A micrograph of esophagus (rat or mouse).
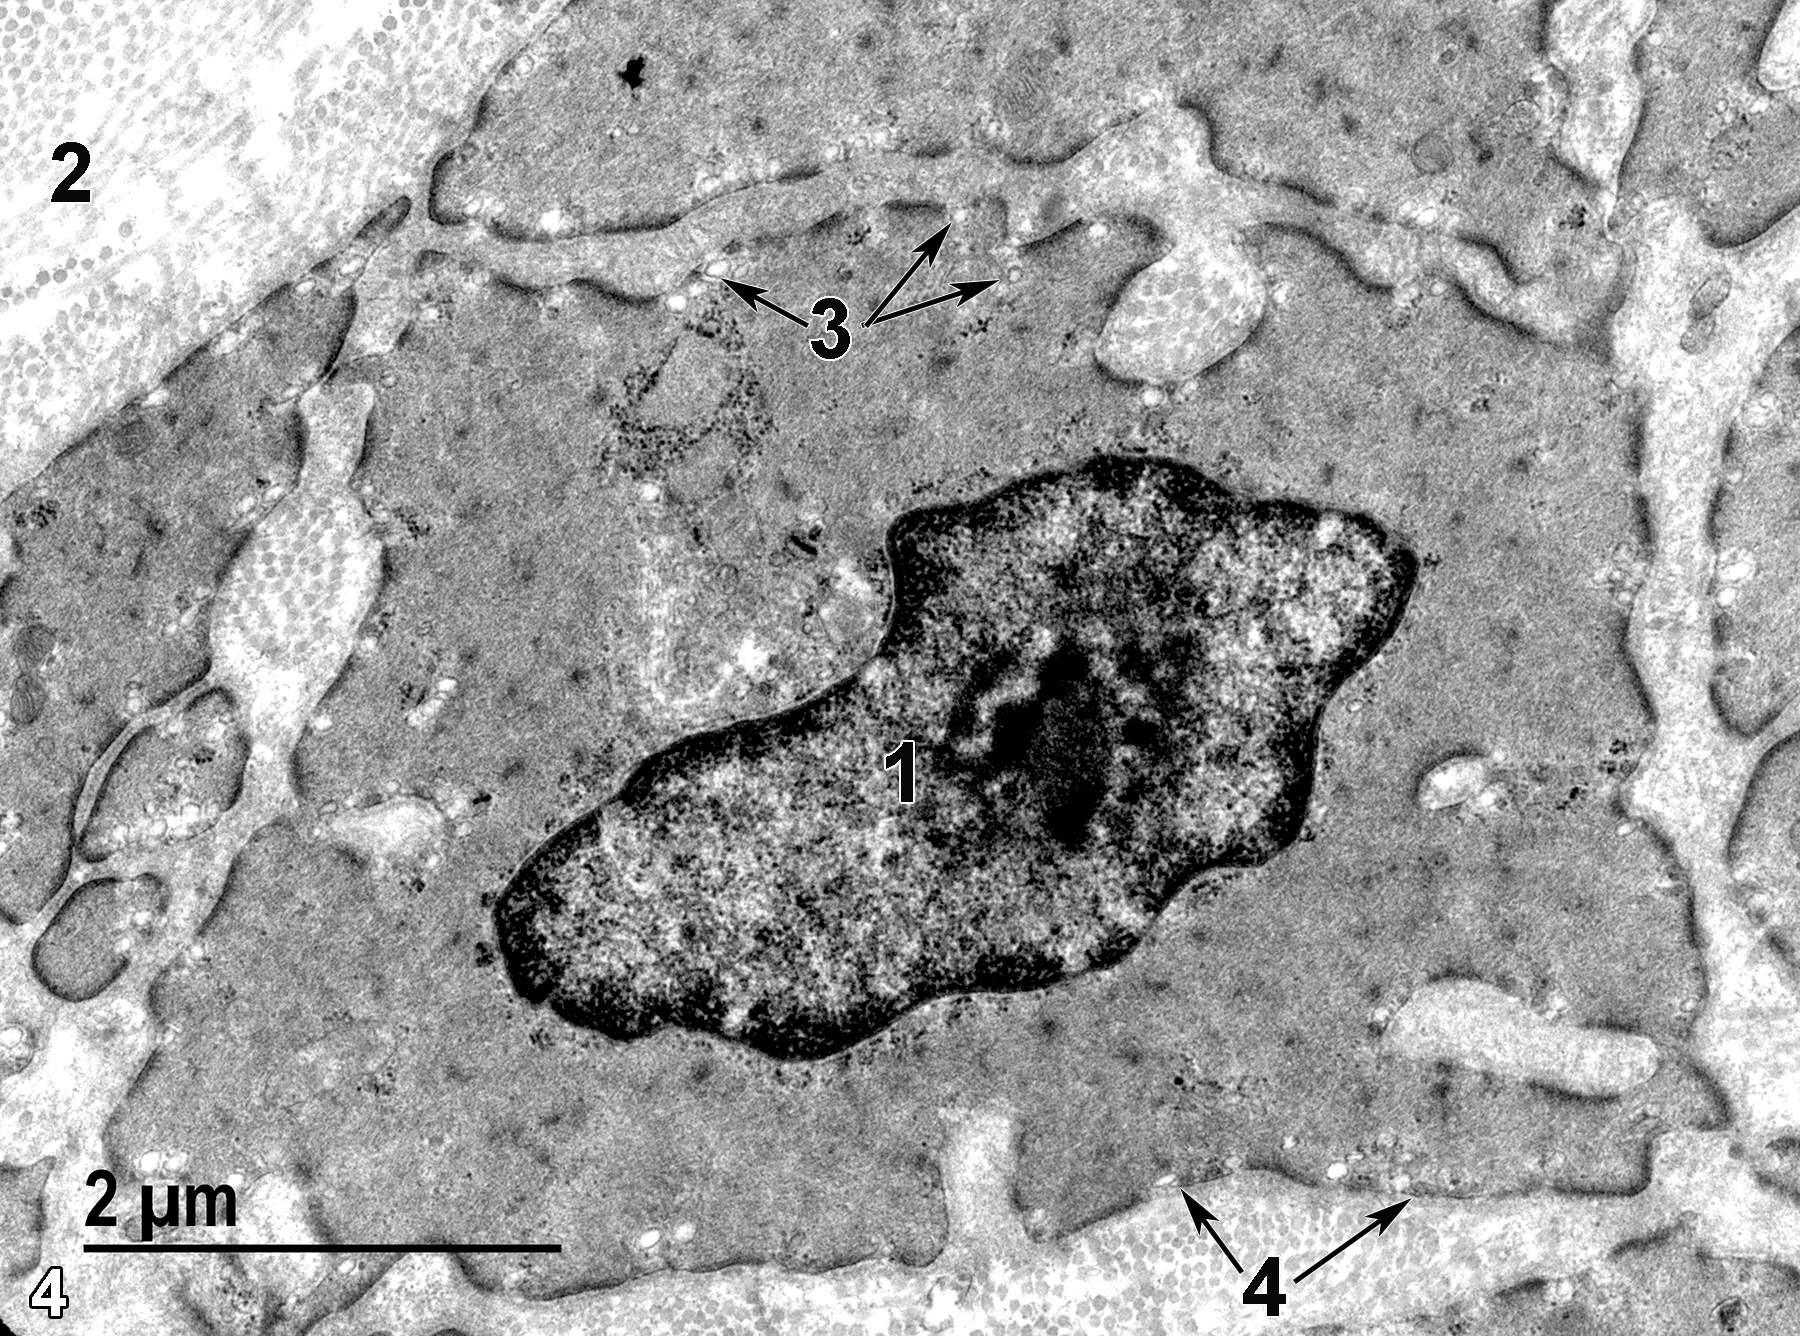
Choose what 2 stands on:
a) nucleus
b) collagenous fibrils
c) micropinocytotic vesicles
b) collagenous fibrils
